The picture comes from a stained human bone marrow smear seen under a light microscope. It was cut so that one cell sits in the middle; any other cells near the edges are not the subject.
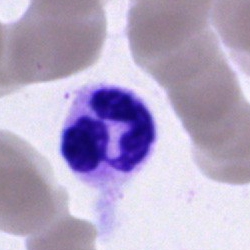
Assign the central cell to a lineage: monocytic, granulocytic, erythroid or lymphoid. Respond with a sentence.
The cell at the very center of the crop belongs to the granulocytic lineage.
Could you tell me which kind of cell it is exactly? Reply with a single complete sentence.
The crop centres on a single cell, and that cell is a segmented neutrophil.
